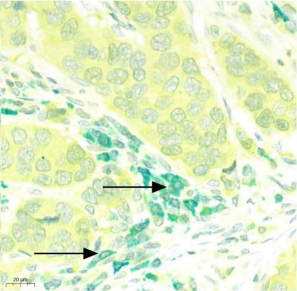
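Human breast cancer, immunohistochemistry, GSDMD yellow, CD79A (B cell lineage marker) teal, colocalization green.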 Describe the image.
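To the lower right runs a band of pale stroma with elongated, spindle-shaped nuclei. Within this stroma lies a cluster of small rounded cells stained teal to green. Arrows point to this cluster and to a smaller group further down the stromal band.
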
